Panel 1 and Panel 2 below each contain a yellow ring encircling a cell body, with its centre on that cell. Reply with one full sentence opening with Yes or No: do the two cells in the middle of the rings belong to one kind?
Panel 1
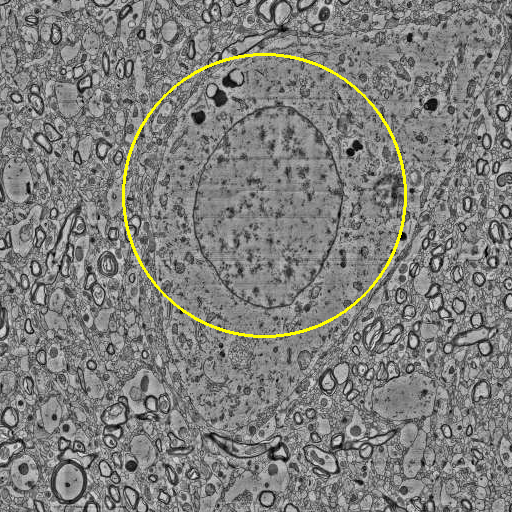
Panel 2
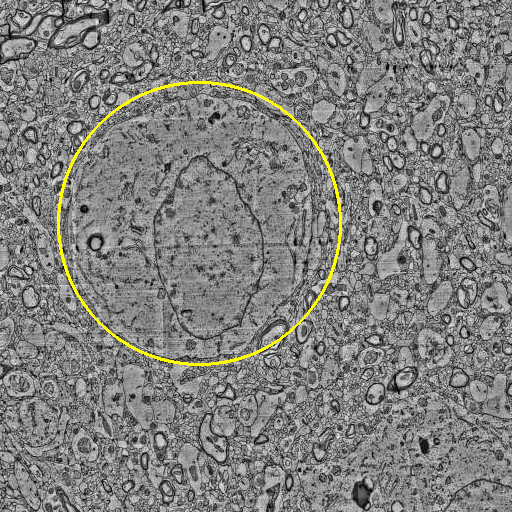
Yes, the cells at the middle of the Panel 1 ring and the Panel 2 ring are of one kind.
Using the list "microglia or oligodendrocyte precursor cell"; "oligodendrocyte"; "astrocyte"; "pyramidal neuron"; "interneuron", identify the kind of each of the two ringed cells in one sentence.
The second cell is a pyramidal neuron, just as the first is.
